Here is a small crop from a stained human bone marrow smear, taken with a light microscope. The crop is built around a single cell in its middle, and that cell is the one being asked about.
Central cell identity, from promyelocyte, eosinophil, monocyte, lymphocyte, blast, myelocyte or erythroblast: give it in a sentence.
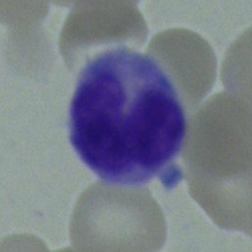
The target cell in the middle of the crop is a monocyte.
